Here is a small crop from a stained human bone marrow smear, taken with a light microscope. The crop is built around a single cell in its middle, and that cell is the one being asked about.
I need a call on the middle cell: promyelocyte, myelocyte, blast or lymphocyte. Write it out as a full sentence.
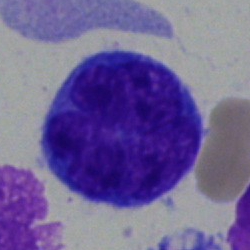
As for the cell in the middle, it is a blast.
